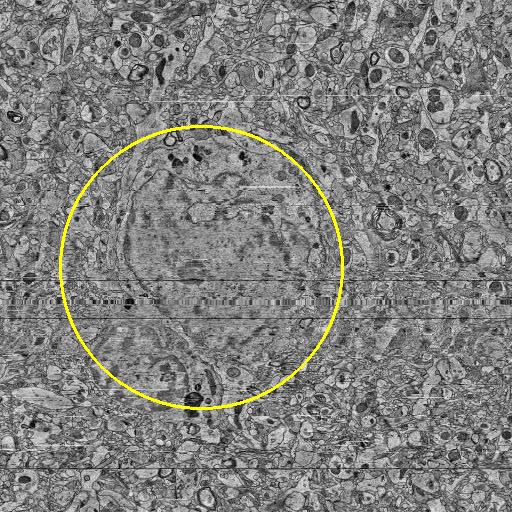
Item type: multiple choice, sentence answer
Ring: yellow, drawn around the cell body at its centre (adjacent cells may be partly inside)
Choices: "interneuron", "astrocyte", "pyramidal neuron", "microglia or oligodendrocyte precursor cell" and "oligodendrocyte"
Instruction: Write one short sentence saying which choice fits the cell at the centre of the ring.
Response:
This ring is drawn around an interneuron.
